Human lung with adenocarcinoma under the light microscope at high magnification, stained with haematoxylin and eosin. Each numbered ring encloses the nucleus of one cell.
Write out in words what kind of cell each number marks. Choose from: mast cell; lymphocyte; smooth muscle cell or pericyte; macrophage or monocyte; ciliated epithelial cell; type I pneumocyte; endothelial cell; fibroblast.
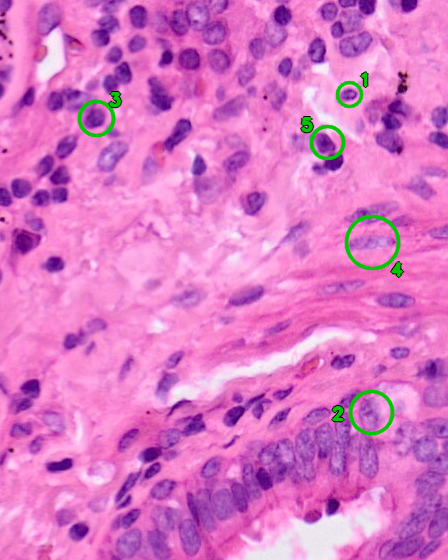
Cells 1, 3 and 5 are lymphocytes. Cell 2 is a ciliated epithelial cell. Cell 4 is a smooth muscle cell or pericyte.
